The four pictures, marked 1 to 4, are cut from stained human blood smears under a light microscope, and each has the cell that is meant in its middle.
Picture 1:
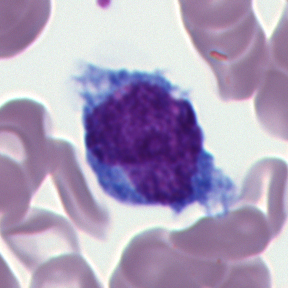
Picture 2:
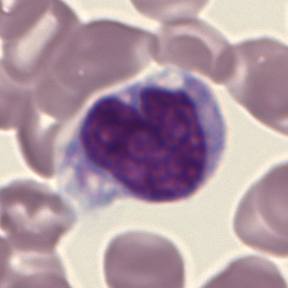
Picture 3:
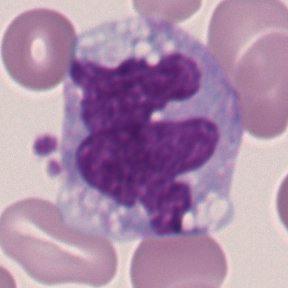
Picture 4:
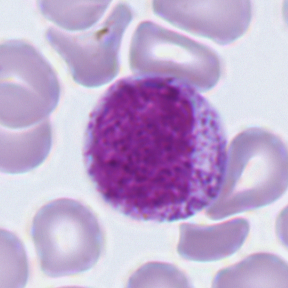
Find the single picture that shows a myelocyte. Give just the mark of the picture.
4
